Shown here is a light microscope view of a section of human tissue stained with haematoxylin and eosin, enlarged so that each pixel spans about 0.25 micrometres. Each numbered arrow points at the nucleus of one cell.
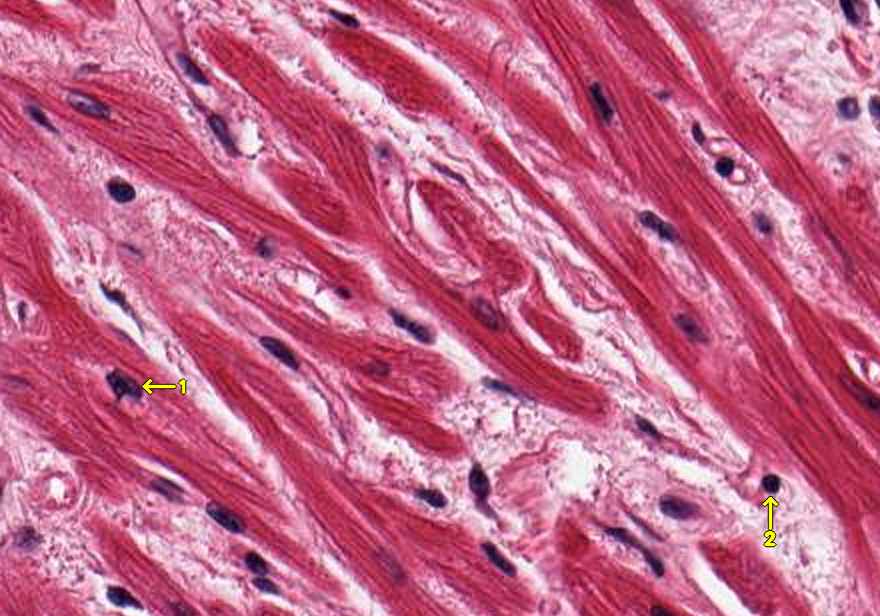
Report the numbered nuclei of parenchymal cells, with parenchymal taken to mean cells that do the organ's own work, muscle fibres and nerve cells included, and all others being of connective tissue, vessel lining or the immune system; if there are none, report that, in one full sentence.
It is nucleus 1, and no other, that belongs to a parenchymal cell.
